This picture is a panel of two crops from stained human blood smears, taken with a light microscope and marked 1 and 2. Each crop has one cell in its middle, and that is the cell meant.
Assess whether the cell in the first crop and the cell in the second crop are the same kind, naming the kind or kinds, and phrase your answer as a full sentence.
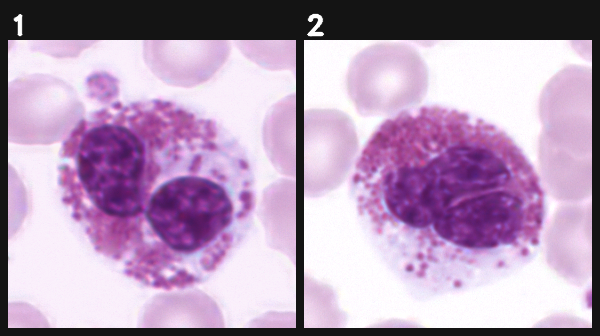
Yes, the same answer goes for both crops, namely eosinophils.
